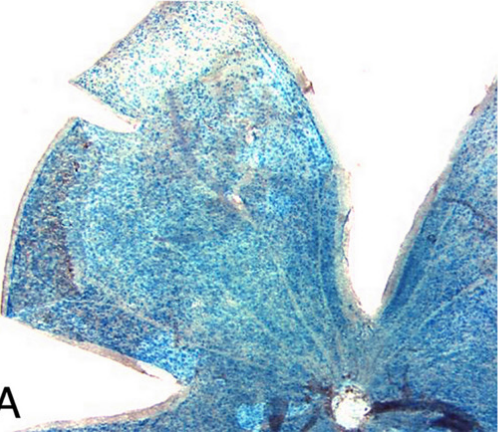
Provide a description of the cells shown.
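The blue dots cover the lobe from near the optic disc at the bottom out to the periphery. Faint pale streaks radiate from the optic disc toward the edge, and dark vessels cross near the disc.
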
